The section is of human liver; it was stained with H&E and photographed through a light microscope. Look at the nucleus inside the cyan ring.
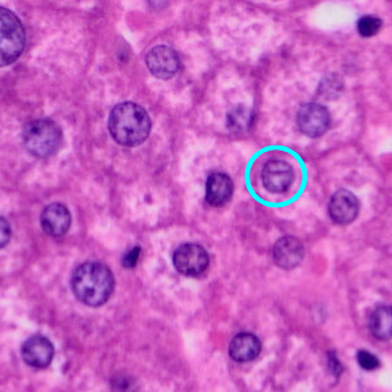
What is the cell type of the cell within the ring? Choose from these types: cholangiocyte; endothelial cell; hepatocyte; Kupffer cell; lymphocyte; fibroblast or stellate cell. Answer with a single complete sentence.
In the tissue at hand, the cell within the ring is a hepatocyte.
